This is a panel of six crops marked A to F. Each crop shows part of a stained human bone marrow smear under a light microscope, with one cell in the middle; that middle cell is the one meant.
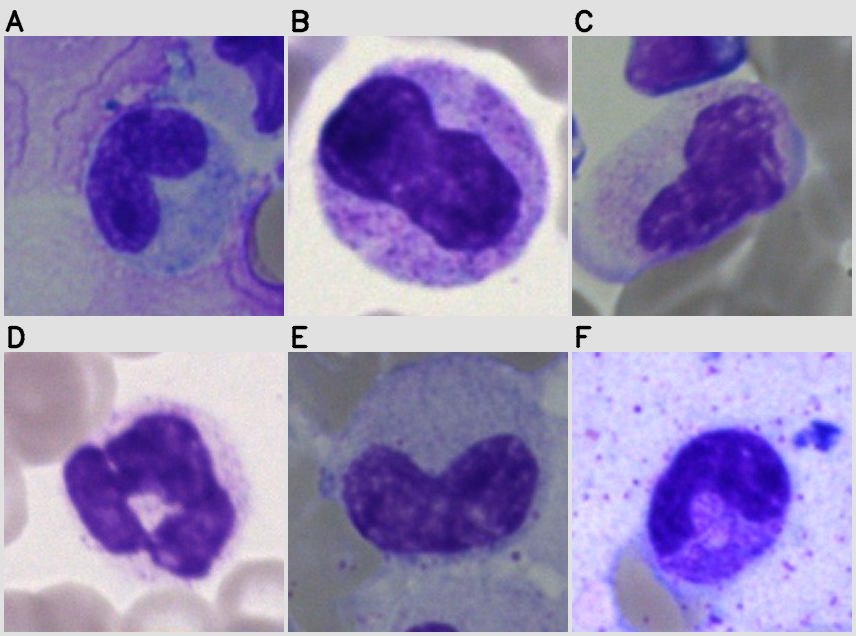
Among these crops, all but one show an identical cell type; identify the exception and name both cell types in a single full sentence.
Crop D differs: it is a segmented neutrophil, and all the other crops show band neutrophils.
